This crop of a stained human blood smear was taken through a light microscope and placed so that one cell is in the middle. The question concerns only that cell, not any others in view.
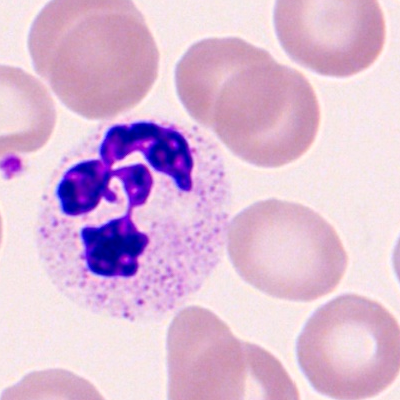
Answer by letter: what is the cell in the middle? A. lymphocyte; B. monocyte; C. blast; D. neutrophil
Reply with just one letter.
D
